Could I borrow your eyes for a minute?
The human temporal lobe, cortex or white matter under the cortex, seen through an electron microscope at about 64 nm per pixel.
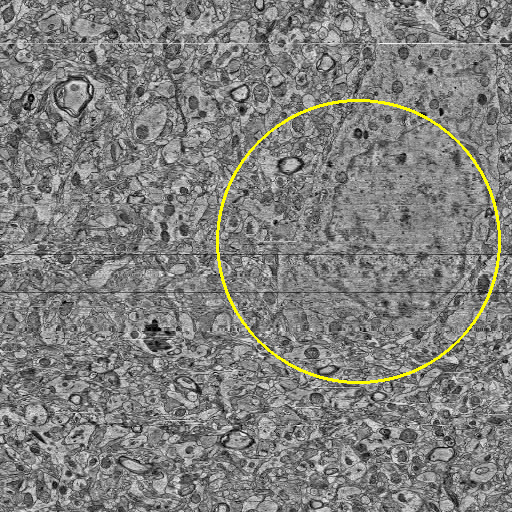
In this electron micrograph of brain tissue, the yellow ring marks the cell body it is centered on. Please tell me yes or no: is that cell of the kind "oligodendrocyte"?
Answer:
no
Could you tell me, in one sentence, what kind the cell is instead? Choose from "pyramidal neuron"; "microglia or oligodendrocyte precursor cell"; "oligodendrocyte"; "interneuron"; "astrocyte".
Instead, the ring in this picture marks an interneuron.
